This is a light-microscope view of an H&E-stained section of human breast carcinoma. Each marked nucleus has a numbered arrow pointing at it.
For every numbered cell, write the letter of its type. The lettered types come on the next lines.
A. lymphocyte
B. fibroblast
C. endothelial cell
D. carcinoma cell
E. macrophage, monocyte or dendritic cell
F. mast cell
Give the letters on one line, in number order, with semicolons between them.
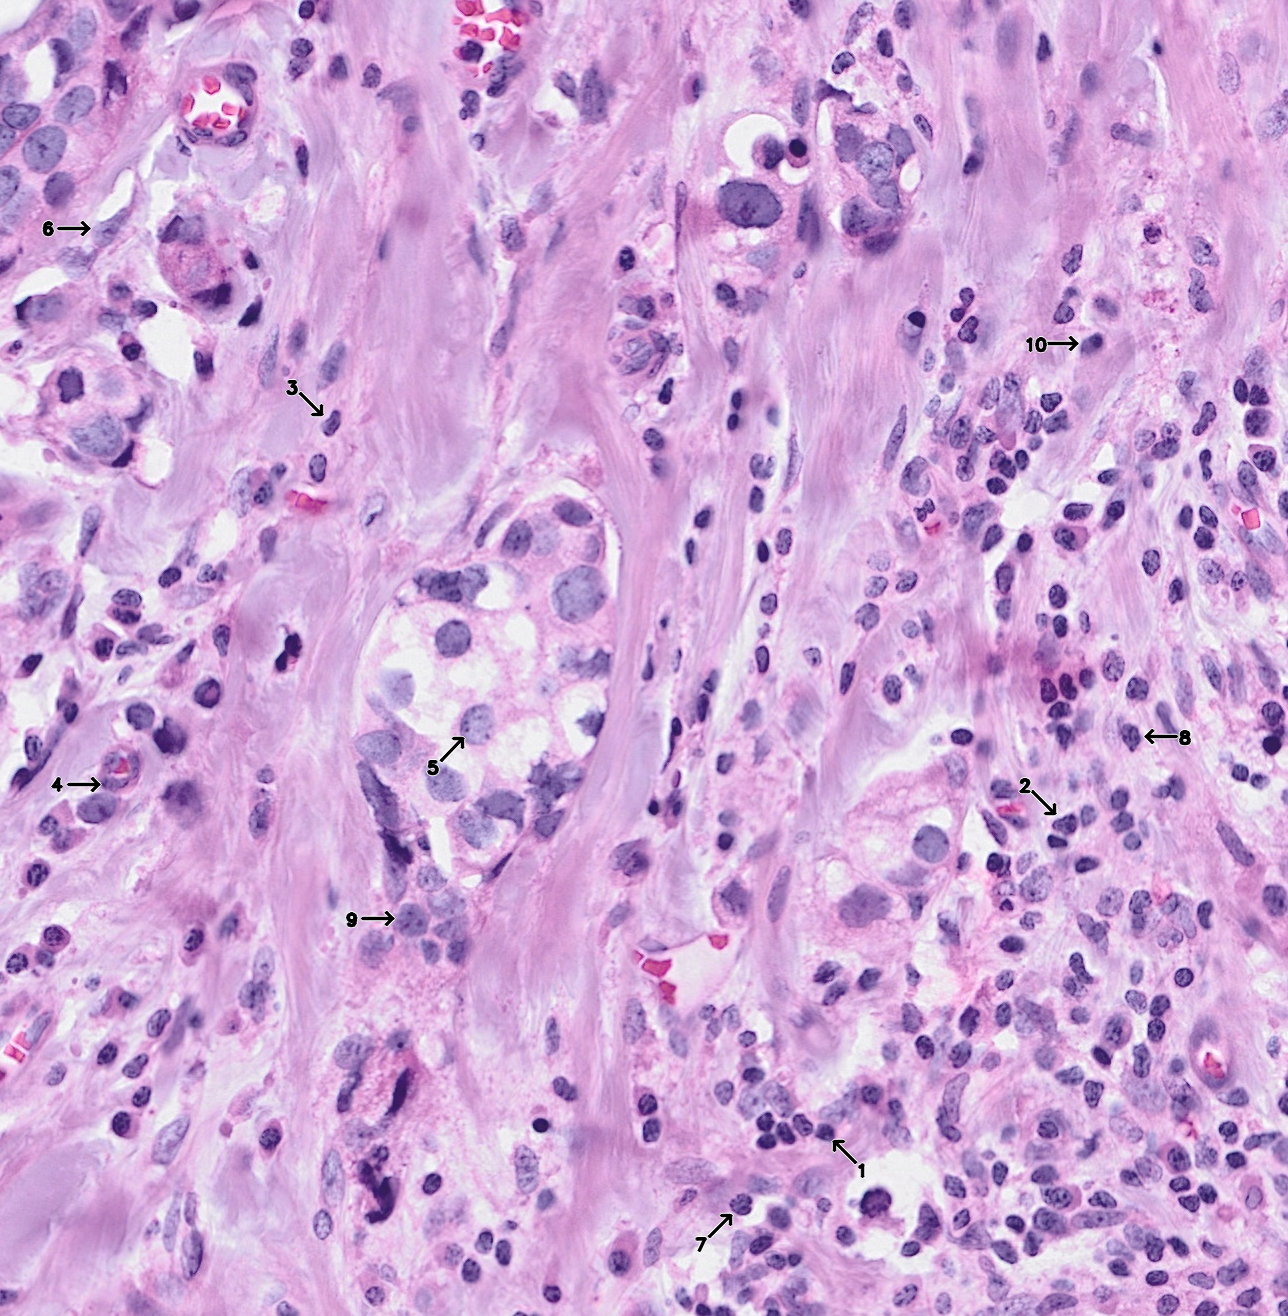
A; A; A; C; D; B; A; A; D; A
